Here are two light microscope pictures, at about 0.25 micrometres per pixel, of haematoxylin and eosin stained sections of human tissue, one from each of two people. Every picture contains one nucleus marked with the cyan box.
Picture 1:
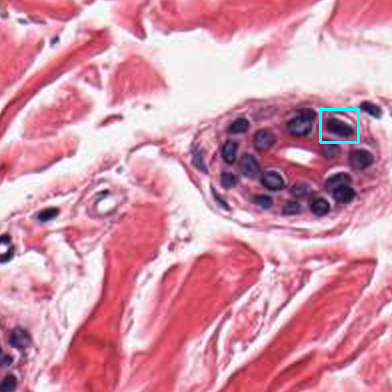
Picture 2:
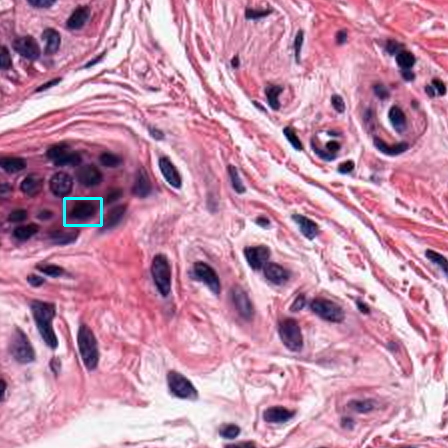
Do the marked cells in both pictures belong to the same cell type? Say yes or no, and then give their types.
Yes, both are sweat gland cells.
